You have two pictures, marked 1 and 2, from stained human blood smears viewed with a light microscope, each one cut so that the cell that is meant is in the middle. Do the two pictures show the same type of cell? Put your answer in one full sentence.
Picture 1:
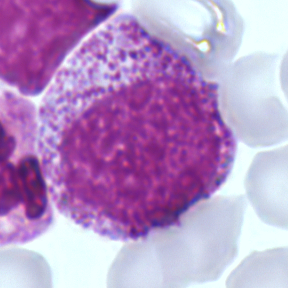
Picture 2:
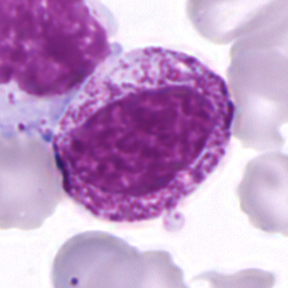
Yes; the cells in both pictures are myelocytes.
